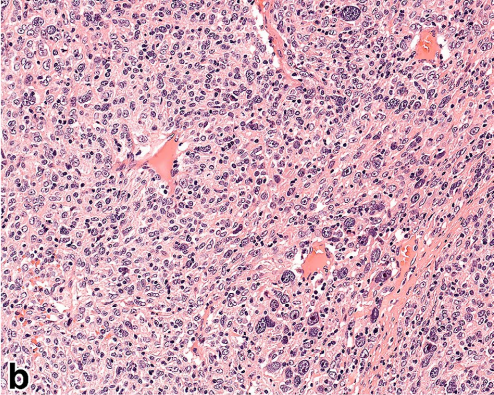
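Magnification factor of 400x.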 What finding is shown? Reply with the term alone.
pleiomorphism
